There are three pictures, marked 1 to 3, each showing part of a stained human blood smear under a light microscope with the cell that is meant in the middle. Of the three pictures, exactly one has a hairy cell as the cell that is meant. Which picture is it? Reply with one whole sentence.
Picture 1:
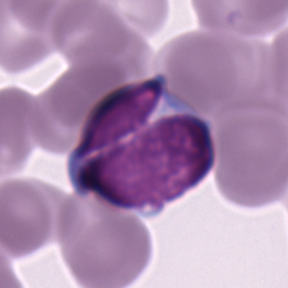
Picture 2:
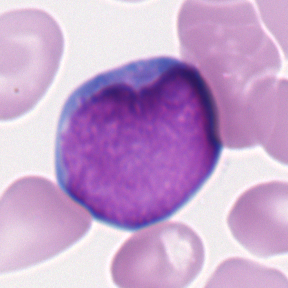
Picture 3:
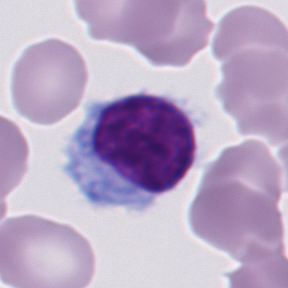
Picture 3 is the one that shows the hairy cell.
